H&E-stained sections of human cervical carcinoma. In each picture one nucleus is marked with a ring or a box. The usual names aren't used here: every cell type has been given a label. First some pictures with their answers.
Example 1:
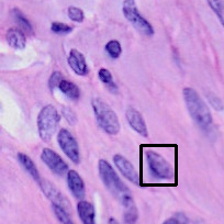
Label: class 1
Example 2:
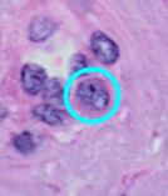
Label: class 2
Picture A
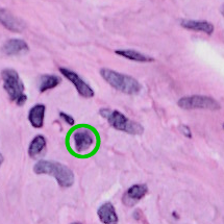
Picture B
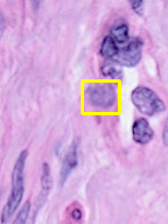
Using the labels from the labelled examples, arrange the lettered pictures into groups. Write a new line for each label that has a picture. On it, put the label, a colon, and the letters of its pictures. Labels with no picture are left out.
class 1: A
class 2: B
